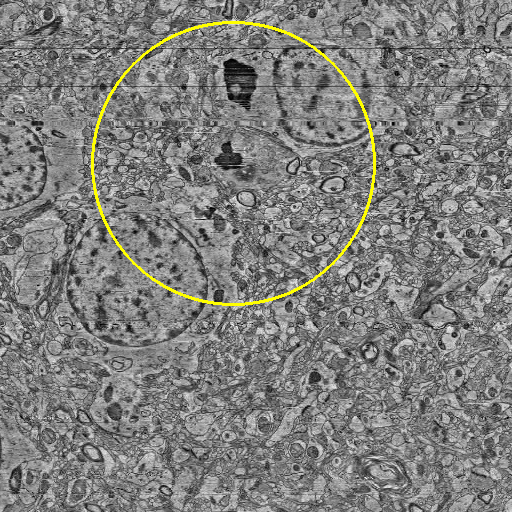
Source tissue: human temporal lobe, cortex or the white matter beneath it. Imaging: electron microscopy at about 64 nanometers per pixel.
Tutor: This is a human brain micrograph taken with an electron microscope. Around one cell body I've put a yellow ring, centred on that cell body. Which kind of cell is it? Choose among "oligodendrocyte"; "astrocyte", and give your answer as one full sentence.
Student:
Going by your list, the cell centred in the yellow ring is an oligodendrocyte.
